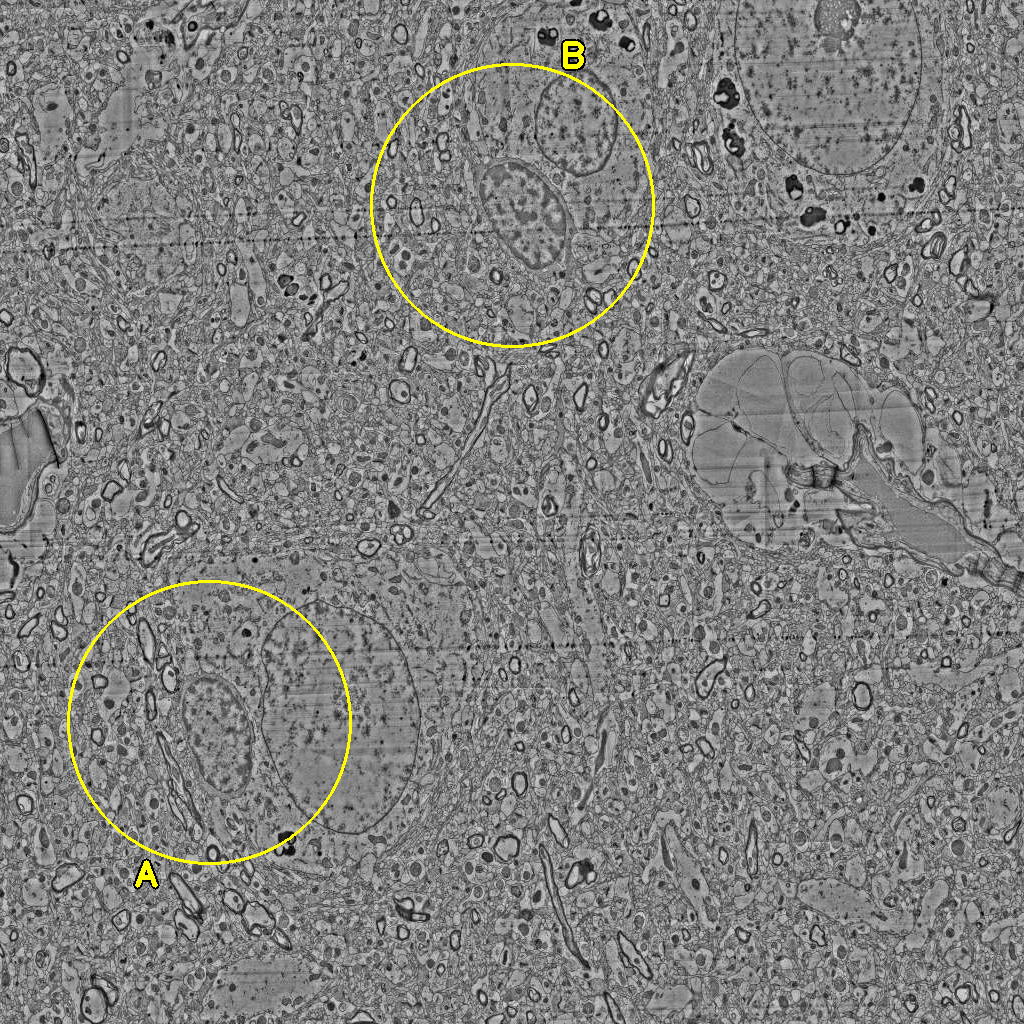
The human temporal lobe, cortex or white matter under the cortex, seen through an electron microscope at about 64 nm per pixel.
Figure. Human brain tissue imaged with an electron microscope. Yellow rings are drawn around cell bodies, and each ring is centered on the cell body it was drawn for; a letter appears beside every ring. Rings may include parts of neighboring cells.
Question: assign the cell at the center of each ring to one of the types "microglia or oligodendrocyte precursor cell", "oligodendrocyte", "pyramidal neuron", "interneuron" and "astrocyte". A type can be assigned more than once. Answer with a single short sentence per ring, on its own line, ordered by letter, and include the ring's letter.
Centered in ring A is an oligodendrocyte.
Centered in ring B is an oligodendrocyte.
